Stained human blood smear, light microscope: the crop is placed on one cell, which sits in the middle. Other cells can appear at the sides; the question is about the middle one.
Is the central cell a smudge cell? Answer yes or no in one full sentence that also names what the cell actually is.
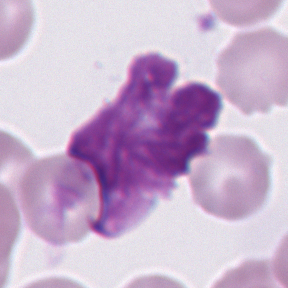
Yes, this central cell is a smudge cell.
